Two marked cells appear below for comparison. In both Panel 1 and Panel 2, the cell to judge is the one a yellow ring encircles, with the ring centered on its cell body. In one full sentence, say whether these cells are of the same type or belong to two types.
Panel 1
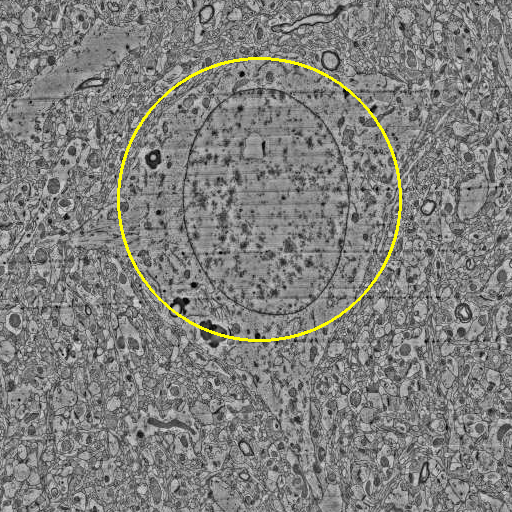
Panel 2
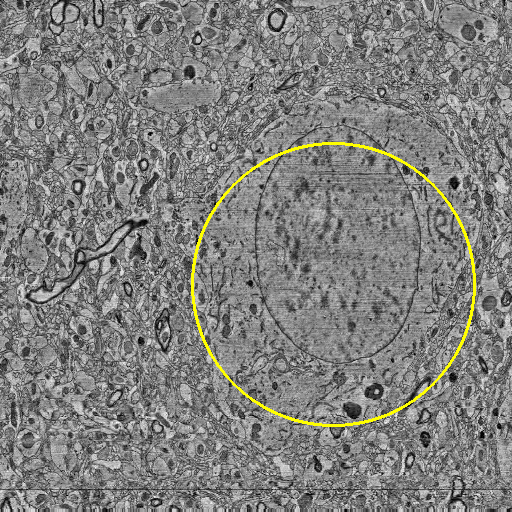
The cell centered in the Panel 1 ring and the one in Panel 2 are of the same type.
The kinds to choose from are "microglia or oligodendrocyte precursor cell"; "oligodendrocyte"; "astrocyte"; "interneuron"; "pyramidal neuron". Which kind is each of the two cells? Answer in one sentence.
Each cell, in the first picture and the second, is a pyramidal neuron.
